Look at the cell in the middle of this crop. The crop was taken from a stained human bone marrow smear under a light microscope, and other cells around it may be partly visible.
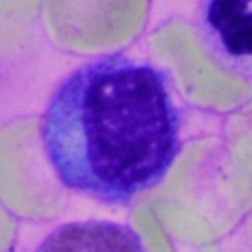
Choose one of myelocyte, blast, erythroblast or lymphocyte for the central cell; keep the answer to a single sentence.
The cell at the heart of this crop is a myelocyte.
